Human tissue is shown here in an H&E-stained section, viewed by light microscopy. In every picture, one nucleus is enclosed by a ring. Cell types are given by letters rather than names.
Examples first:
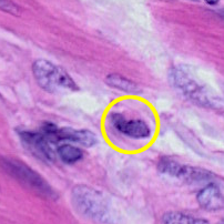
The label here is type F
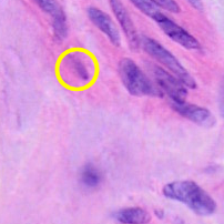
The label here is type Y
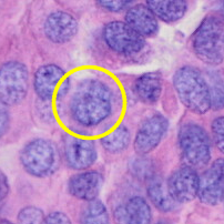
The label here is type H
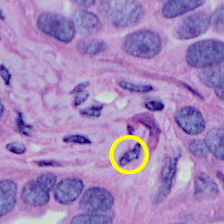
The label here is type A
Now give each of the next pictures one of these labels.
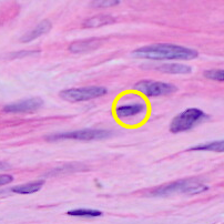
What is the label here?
type Y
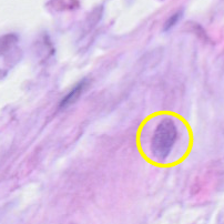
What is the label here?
type A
